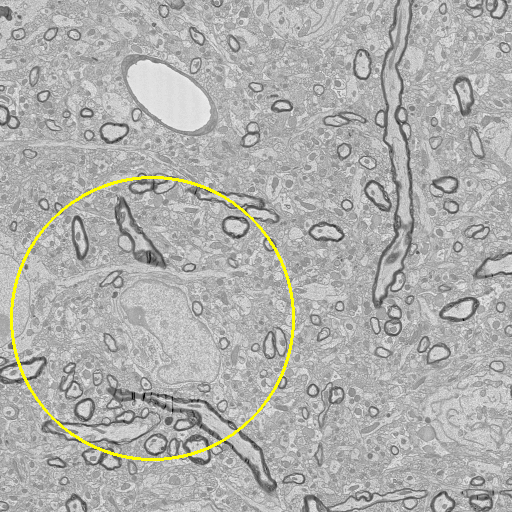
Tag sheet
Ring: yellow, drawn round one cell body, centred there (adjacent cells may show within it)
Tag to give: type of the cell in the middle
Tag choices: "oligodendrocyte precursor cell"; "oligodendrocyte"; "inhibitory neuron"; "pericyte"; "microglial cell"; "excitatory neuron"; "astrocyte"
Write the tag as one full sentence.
I tag the cell centred in the yellow ring as an oligodendrocyte precursor cell in this picture.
